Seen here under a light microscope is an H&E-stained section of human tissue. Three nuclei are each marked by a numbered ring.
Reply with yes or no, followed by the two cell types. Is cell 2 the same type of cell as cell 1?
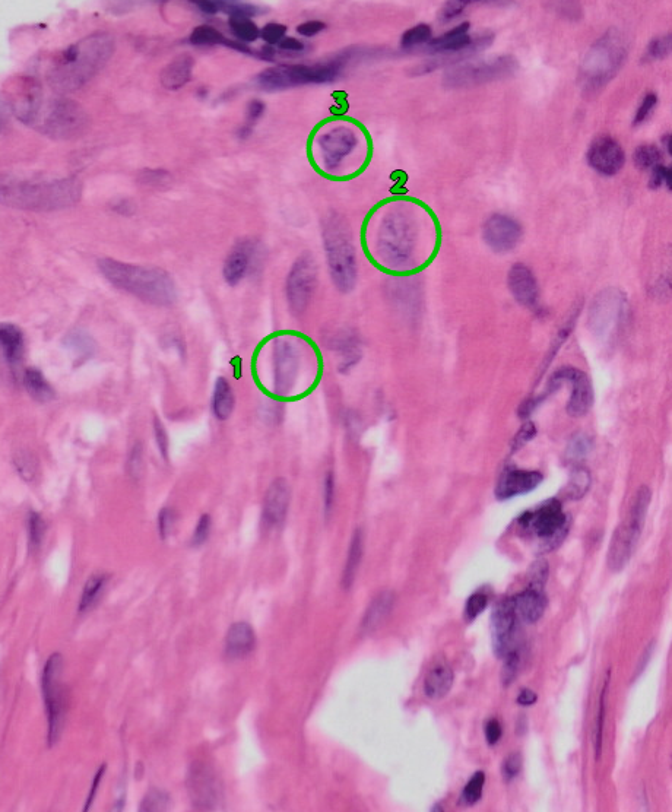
Yes, cells 2 and 1 both belong among the fibroblasts.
